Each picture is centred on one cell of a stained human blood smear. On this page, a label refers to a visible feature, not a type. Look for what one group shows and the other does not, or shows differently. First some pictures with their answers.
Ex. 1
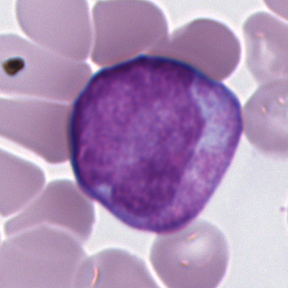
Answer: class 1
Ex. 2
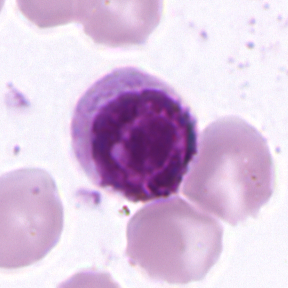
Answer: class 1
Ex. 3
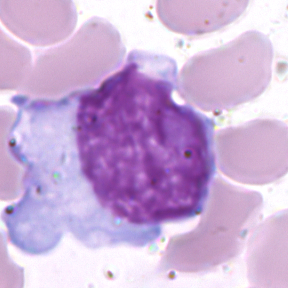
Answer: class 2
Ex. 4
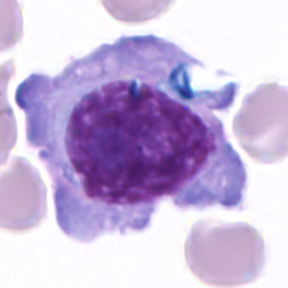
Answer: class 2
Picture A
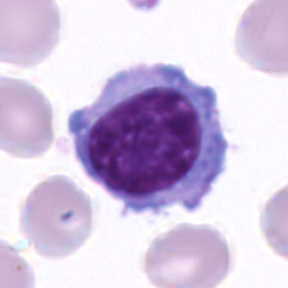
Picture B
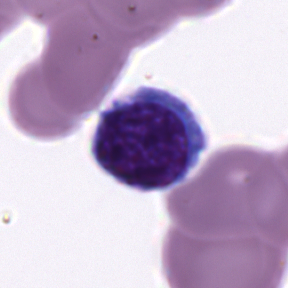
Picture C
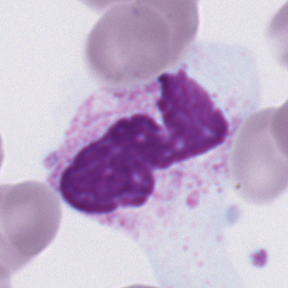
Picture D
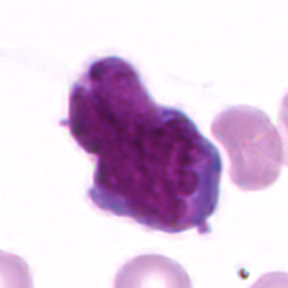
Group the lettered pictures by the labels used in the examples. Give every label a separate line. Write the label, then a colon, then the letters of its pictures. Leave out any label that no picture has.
class 1: B
class 2: A, C, D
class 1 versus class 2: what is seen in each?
In class 1: smooth outline. In class 2: ragged outline or projections.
